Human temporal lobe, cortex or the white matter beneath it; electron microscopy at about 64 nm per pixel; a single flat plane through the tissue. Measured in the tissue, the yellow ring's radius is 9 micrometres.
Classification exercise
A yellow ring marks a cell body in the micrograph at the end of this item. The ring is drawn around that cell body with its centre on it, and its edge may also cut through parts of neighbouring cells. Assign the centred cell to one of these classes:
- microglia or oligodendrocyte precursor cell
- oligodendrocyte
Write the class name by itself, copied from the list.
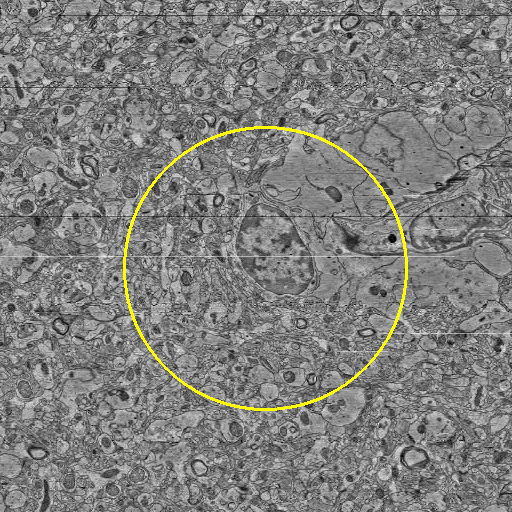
microglia or oligodendrocyte precursor cell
